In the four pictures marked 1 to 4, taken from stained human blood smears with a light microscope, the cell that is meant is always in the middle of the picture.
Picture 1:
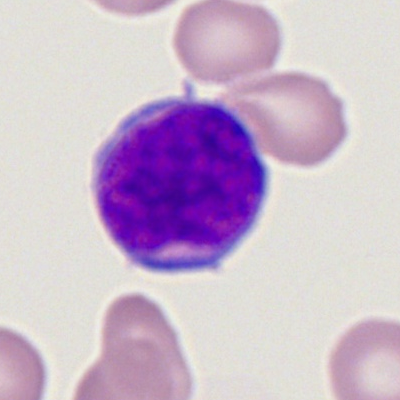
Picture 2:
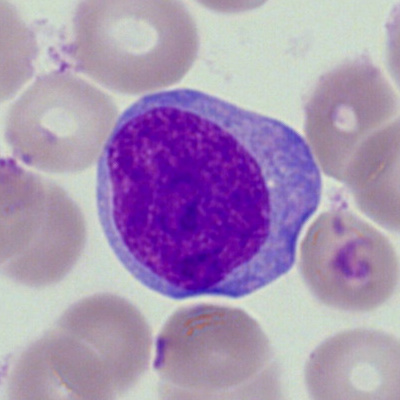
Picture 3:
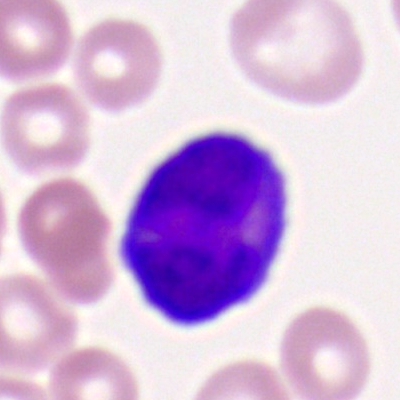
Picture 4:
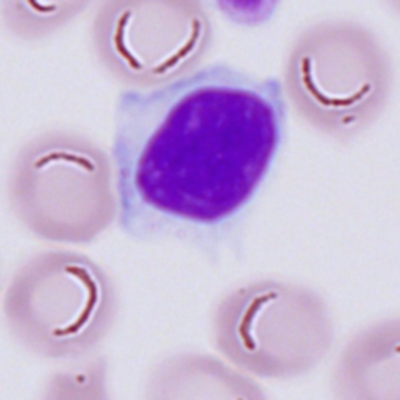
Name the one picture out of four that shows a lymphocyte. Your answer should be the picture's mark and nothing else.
4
